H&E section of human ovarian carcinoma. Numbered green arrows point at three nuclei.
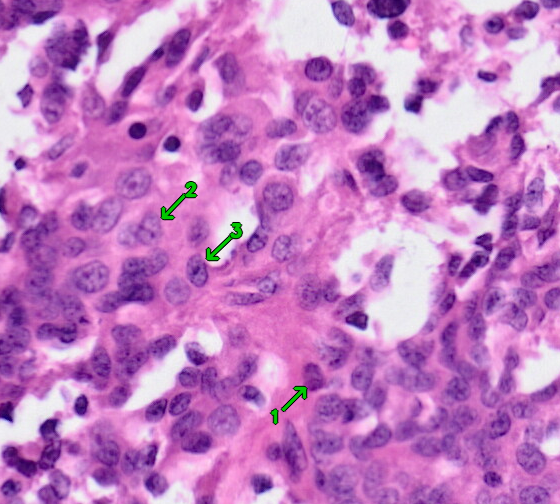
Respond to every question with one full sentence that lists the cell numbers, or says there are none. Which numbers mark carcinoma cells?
Cells 1 and 2 are of one type, namely carcinoma cells.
